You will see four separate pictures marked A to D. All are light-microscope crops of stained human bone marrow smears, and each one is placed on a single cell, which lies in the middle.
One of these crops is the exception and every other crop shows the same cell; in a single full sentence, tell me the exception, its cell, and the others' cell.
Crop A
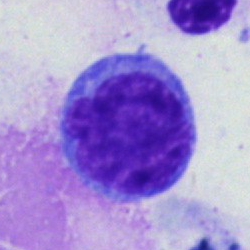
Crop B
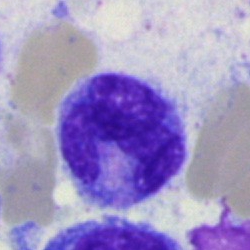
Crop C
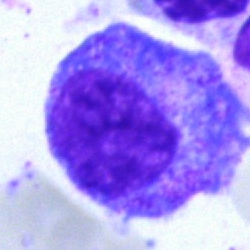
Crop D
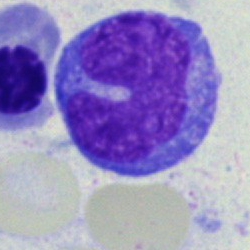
Crop C is the outlier, with a promyelocyte against monocytes in the rest.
